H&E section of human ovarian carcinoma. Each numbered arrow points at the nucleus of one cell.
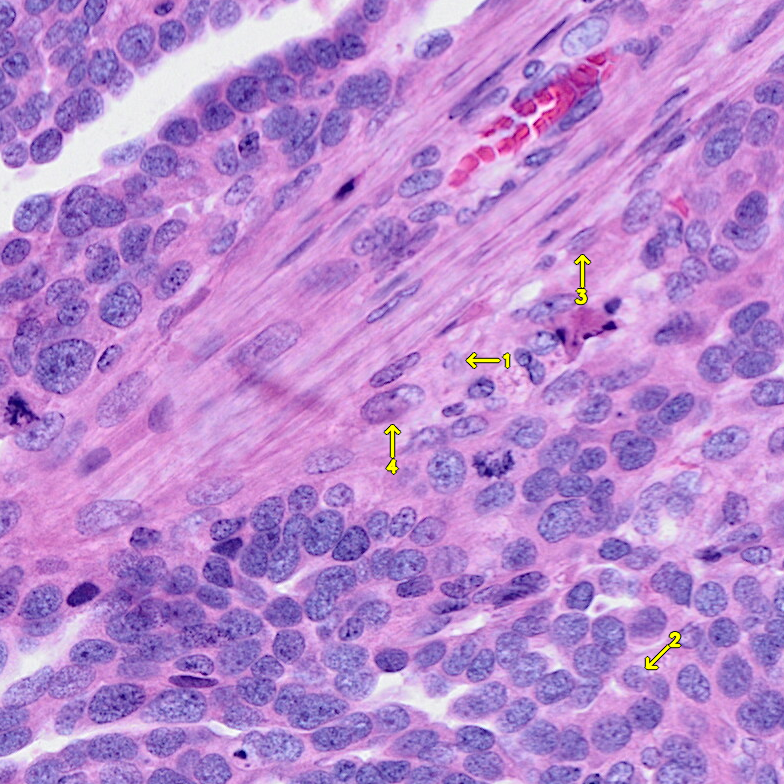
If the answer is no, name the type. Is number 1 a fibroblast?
Yes.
